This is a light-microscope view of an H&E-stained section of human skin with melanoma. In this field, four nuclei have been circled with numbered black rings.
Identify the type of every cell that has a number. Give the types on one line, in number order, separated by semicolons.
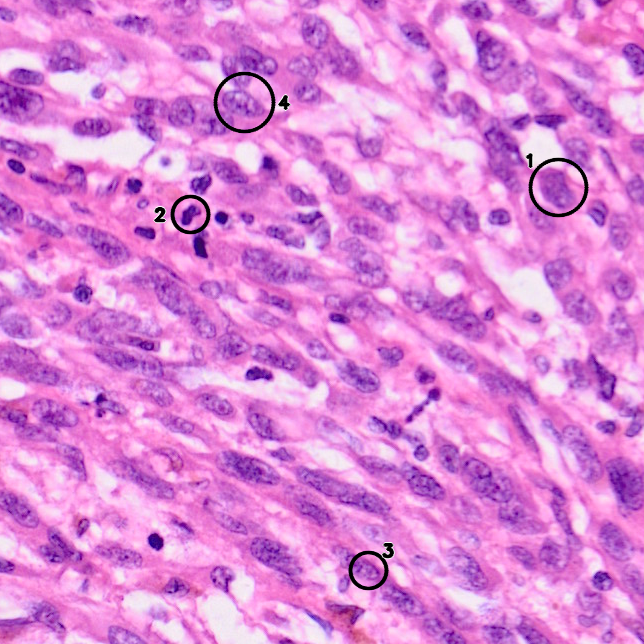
melanoma cell; lymphocyte; melanoma cell; melanoma cell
